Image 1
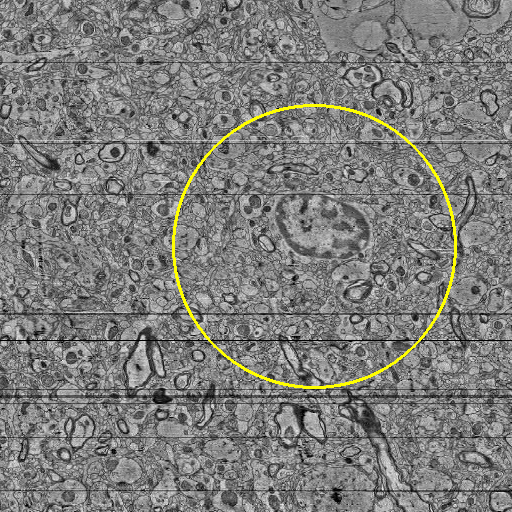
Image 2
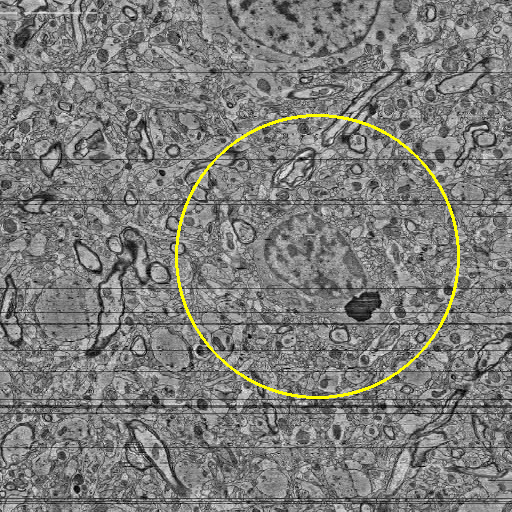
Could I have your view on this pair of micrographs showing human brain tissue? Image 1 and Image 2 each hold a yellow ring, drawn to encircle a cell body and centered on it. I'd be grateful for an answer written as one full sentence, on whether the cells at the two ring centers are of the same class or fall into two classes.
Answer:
The cells at the centers of the two rings fall into two classes.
